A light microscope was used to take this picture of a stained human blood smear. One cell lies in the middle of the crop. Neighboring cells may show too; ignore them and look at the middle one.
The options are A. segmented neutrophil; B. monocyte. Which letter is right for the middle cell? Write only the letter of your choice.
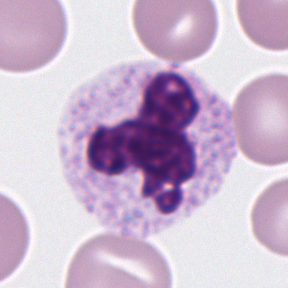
A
